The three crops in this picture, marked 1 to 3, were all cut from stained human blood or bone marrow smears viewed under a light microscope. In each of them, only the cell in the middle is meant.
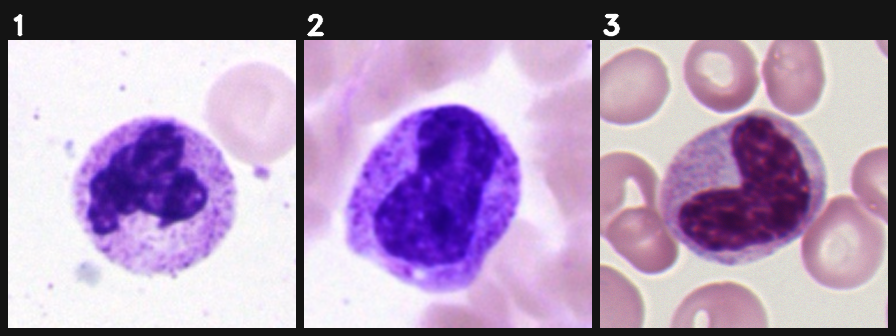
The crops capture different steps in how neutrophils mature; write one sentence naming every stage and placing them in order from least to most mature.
The series, from least to most mature, is crop 2 (a metamyelocyte), crop 3 (a band neutrophil) and crop 1 (a segmented neutrophil).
